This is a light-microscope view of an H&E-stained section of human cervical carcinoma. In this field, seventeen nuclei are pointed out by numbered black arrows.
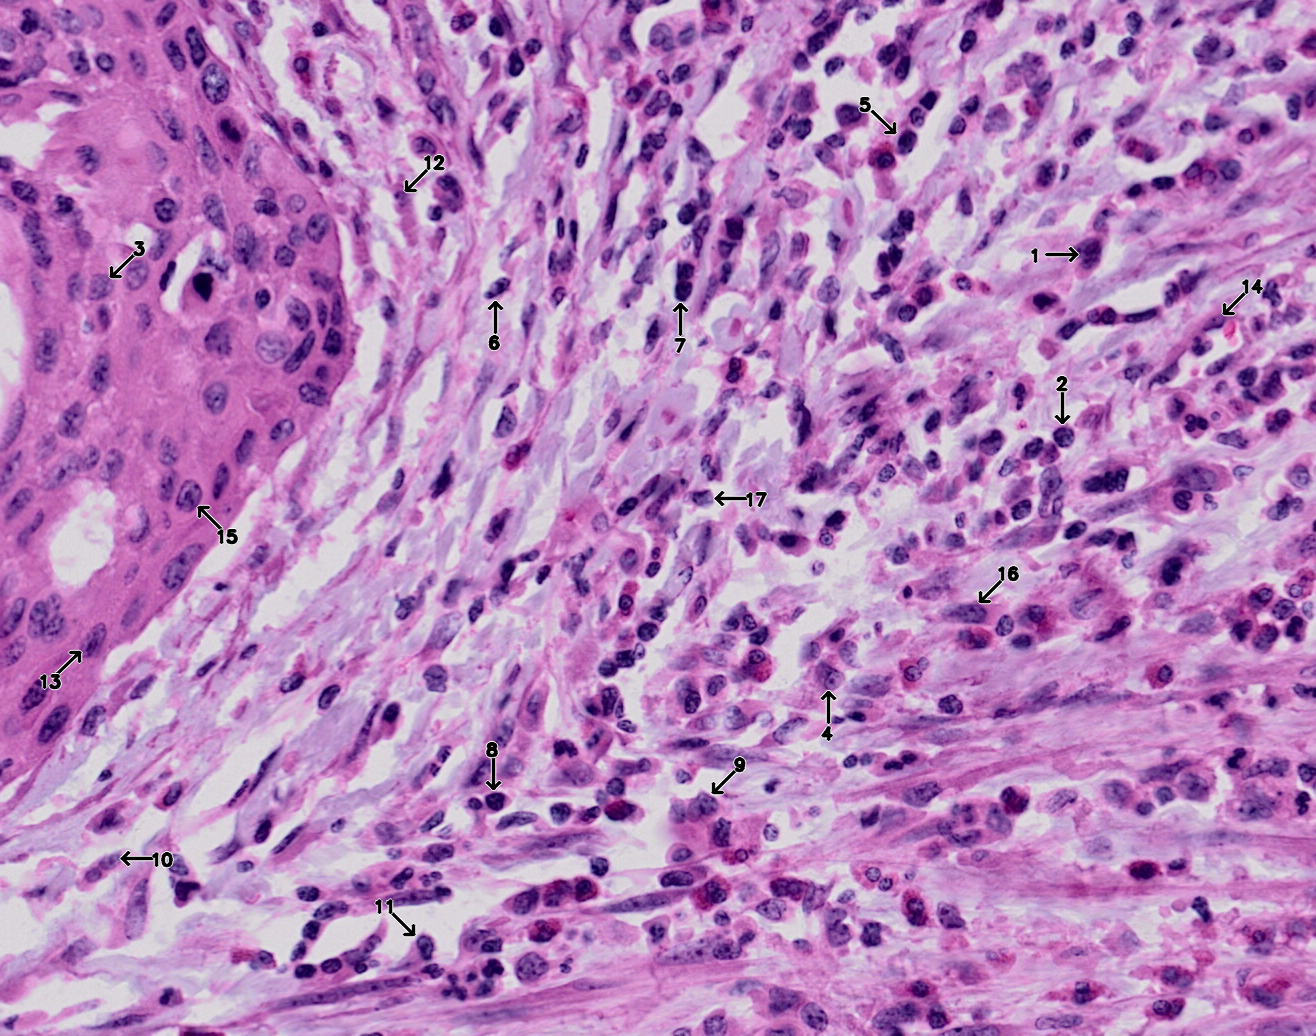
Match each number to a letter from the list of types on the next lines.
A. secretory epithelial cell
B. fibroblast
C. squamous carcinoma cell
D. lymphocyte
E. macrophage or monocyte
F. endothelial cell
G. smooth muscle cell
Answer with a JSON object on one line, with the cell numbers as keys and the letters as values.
{"1": "E", "2": "D", "3": "C", "4": "E", "5": "D", "6": "D", "7": "D", "8": "D", "9": "E", "10": "E", "11": "D", "12": "B", "13": "C", "14": "F", "15": "C", "16": "E", "17": "D"}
